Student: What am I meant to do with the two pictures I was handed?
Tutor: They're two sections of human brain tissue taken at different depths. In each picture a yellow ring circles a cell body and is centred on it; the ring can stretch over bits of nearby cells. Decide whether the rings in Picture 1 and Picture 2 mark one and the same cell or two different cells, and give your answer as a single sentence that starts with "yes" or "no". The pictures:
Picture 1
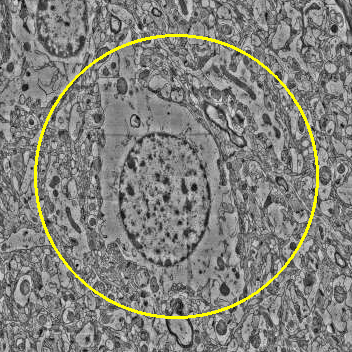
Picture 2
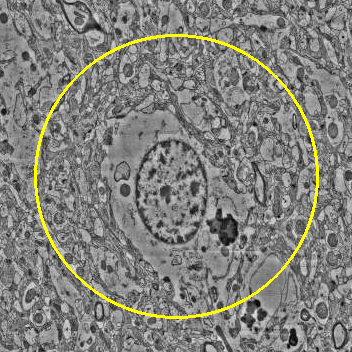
Yes, a single cell is marked twice, once by each yellow ring.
